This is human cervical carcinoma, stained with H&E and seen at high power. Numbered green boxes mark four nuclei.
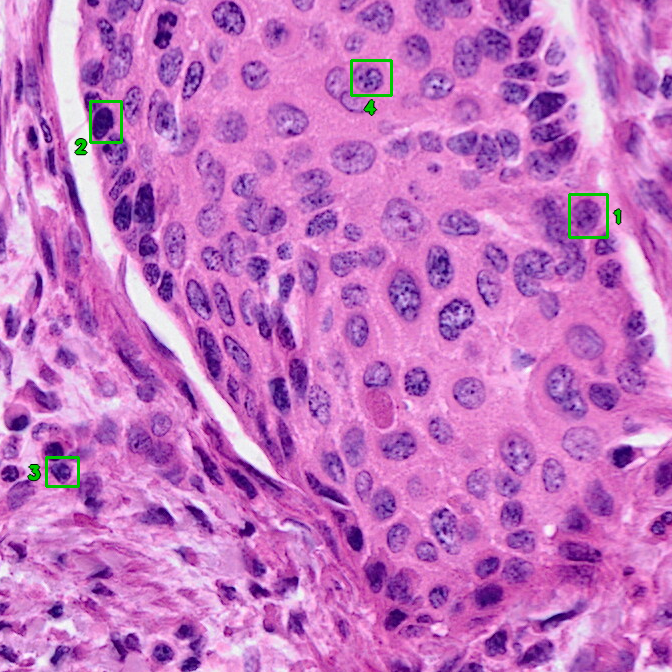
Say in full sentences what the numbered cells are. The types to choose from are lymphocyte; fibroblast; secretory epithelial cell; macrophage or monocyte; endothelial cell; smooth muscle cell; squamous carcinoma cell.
Cells 1, 2 and 4 are squamous carcinoma cells. Cell 3 is a lymphocyte.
